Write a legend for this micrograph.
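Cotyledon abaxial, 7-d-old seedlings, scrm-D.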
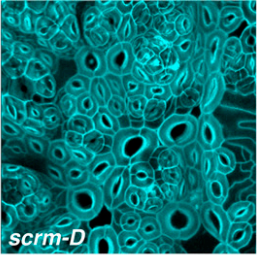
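Leaf epidermis seen from the surface in which stomata crowd the whole field. Rounded pairs of guard cells with dark central pores lie side by side in clusters, touching one another. The lobed pavement cells of a normal epidermis are nearly absent, and the pattern of single spaced stomata is lost.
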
